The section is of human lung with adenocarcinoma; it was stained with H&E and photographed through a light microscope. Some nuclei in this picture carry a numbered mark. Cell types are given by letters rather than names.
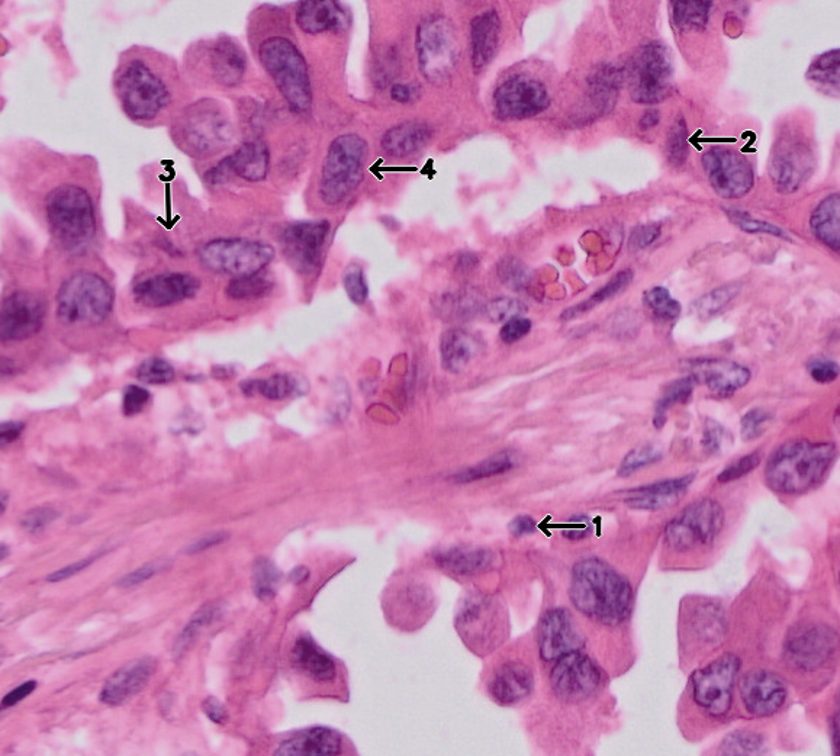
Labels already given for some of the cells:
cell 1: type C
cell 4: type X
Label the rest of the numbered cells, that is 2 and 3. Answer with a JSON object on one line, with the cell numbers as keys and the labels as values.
{"2": "type X", "3": "type X"}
